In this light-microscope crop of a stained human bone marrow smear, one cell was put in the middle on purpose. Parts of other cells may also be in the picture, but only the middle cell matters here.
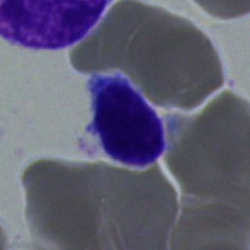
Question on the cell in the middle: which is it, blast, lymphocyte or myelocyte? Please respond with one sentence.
In short, the cell at the center is a lymphocyte.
